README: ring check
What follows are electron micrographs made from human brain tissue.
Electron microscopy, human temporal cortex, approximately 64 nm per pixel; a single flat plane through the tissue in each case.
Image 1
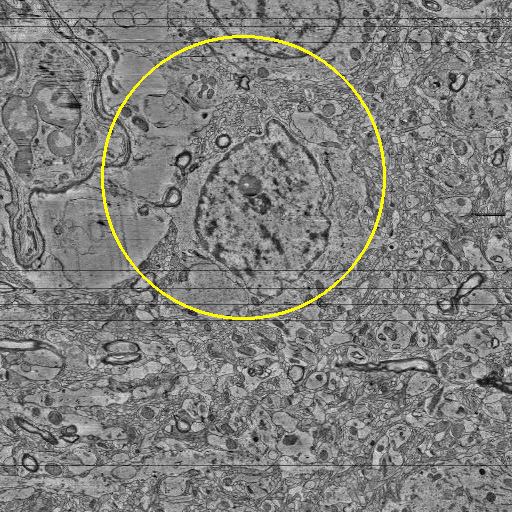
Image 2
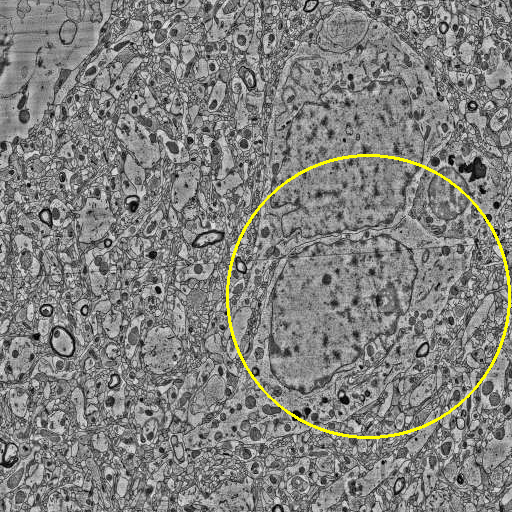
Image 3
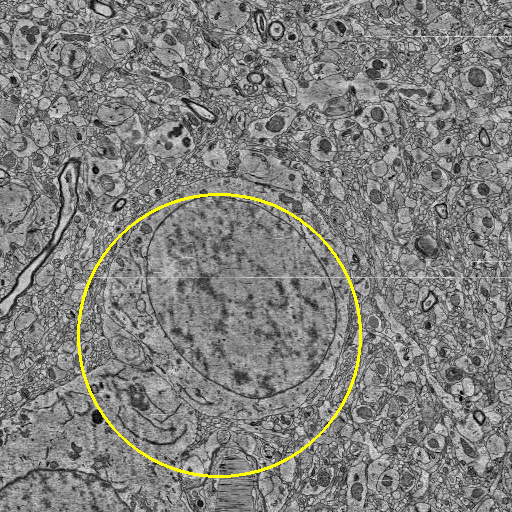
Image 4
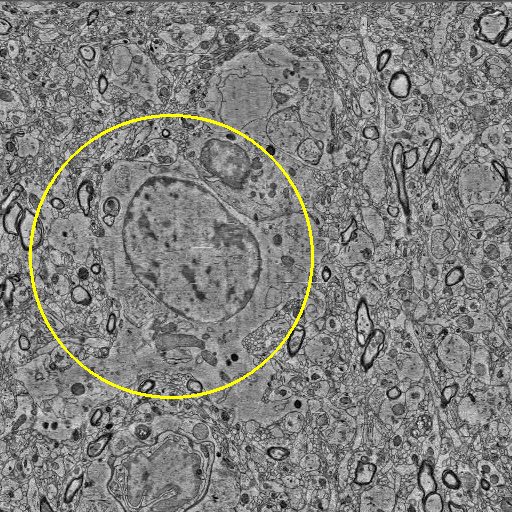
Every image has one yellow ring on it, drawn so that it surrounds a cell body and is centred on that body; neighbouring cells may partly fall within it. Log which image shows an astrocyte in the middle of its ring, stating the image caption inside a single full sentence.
Image 4 is where the cell at the ring's centre matches the one asked for.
